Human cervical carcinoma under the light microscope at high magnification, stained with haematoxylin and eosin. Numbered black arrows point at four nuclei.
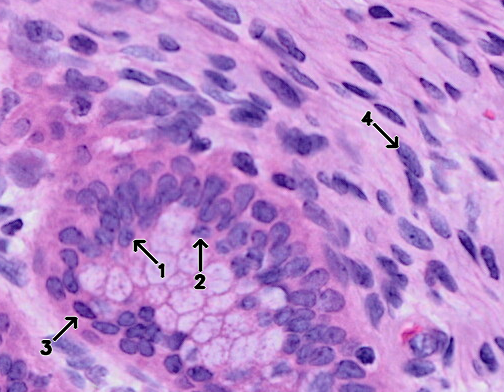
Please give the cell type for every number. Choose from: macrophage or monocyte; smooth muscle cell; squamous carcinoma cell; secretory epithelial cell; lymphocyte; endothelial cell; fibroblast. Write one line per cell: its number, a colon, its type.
1: secretory epithelial cell
2: secretory epithelial cell
3: secretory epithelial cell
4: fibroblast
